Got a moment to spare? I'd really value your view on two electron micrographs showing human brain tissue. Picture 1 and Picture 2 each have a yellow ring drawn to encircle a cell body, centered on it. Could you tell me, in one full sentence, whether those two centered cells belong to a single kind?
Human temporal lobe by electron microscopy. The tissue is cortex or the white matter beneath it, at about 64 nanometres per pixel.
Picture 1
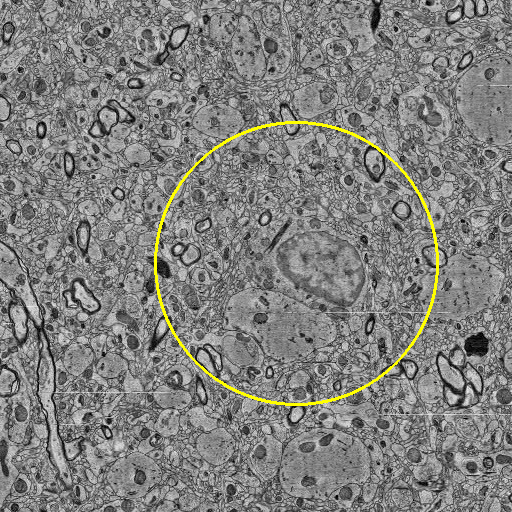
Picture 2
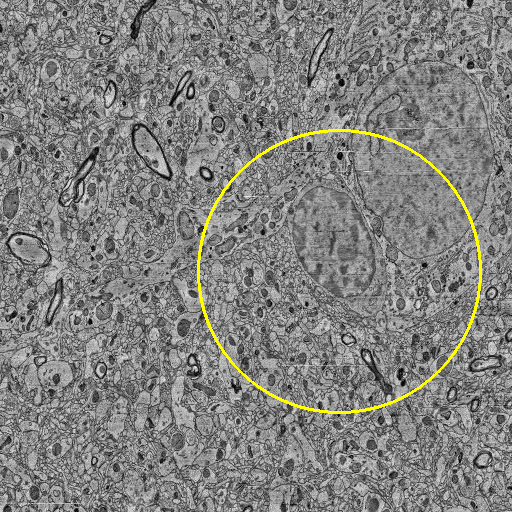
Yes, the two centered cells in Picture 1 and Picture 2 are of a single kind.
